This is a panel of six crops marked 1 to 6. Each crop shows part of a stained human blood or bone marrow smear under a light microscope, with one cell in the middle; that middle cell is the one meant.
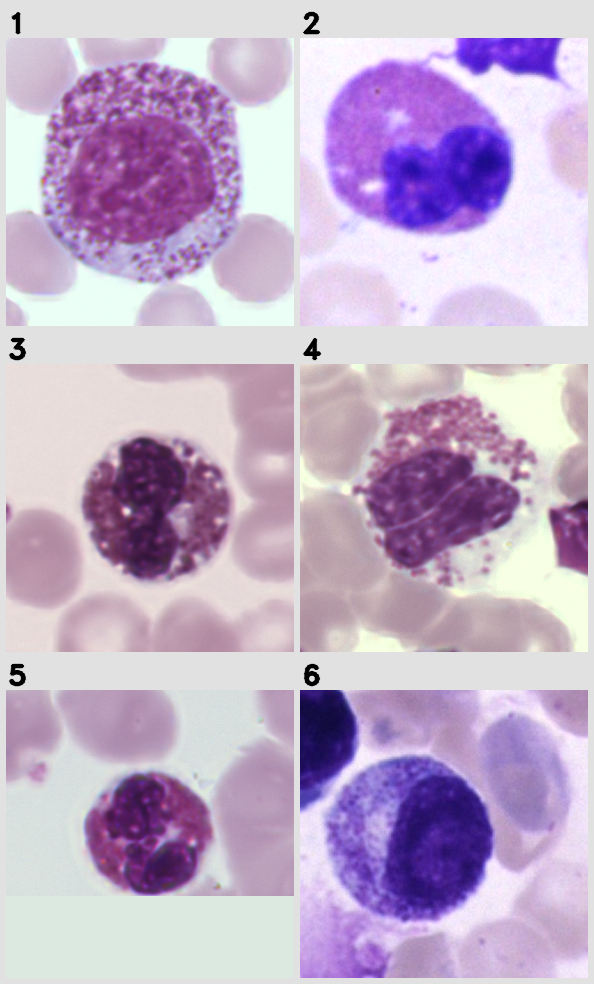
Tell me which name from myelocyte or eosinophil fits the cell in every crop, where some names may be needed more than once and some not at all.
1: myelocyte
2: eosinophil
3: eosinophil
4: eosinophil
5: eosinophil
6: myelocyte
